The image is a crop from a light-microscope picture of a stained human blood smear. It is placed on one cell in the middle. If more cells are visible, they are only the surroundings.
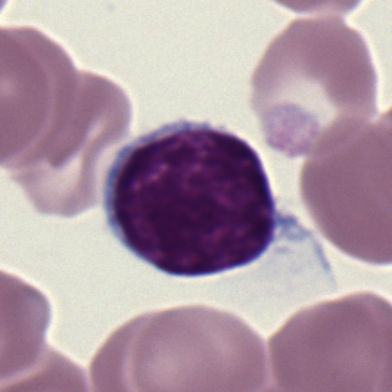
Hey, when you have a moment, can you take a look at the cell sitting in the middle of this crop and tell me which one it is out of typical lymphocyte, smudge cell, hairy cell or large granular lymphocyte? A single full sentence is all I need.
The central cell shown in this smear crop is a typical lymphocyte.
